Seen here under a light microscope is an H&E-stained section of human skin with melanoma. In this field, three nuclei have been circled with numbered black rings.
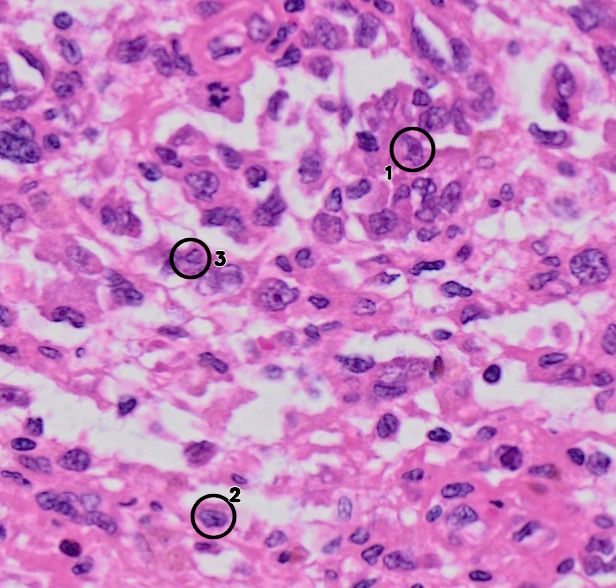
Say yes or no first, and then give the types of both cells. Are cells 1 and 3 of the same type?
Yes, cells 1 and 3 both qualify as melanoma cells.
